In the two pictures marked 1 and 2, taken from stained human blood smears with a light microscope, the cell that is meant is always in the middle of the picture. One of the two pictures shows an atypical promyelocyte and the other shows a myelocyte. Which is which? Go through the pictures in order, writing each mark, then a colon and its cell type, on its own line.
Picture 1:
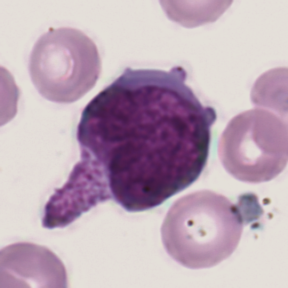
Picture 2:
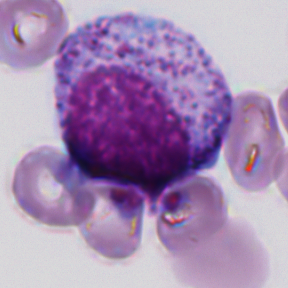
1: atypical promyelocyte
2: myelocyte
